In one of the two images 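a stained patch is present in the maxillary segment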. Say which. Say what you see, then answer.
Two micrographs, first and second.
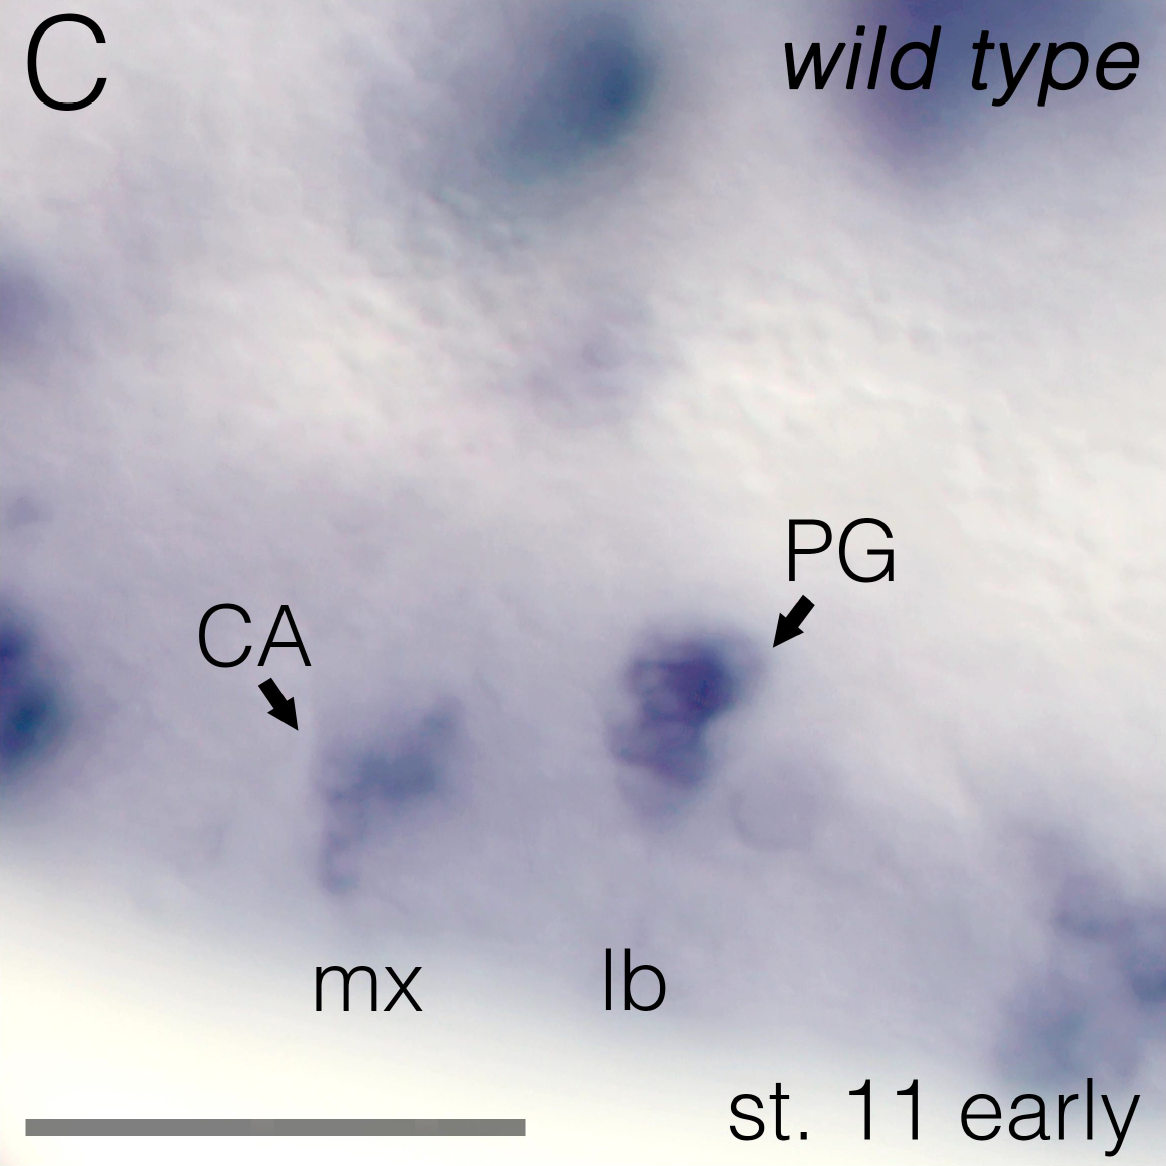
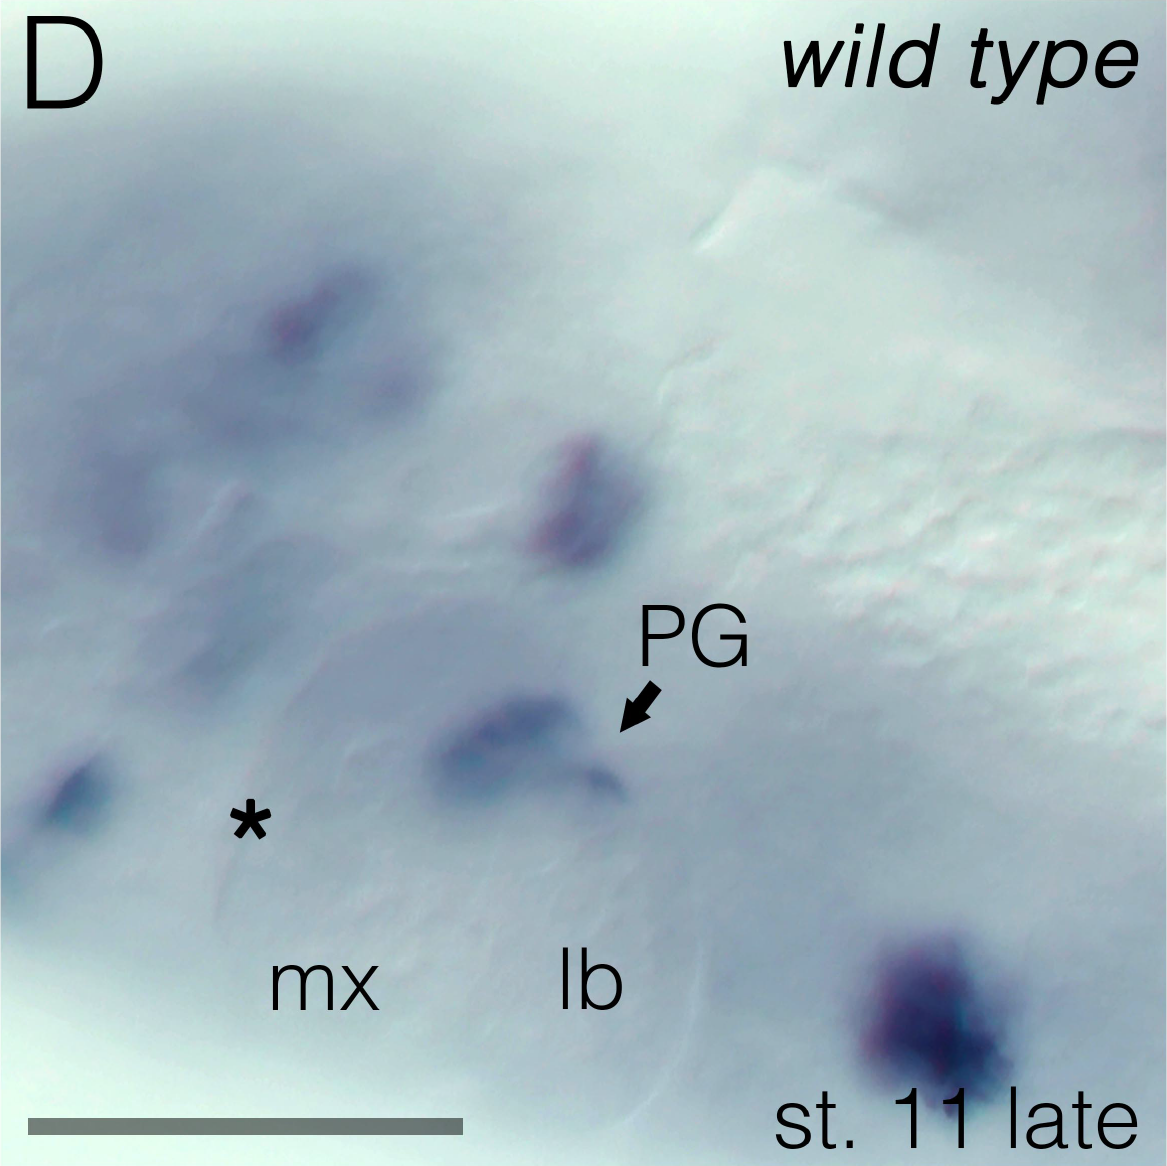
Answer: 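Second image: the maxillary position marked by the asterisk is unstained. First image: a purple stained patch lies in the maxillary segment beside the labial one. On this evidence: the first image.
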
